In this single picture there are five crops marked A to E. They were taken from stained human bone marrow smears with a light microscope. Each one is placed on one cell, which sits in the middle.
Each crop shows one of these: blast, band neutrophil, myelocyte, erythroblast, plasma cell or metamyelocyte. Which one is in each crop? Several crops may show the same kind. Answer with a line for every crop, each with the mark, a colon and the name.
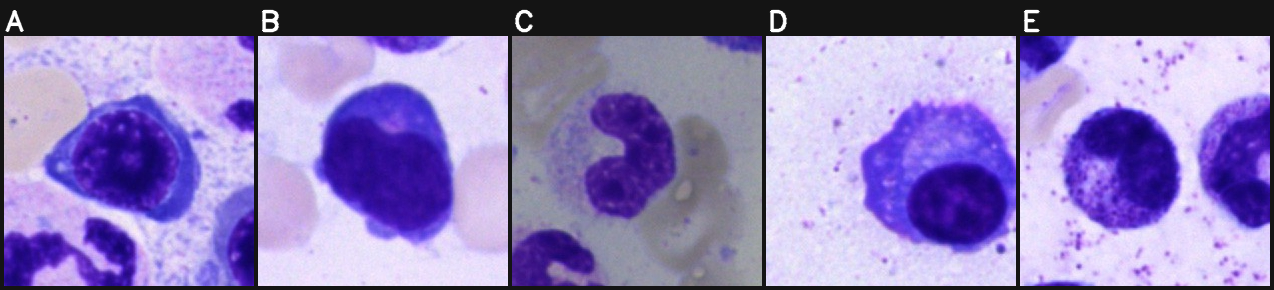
A: erythroblast
B: blast
C: band neutrophil
D: plasma cell
E: metamyelocyte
